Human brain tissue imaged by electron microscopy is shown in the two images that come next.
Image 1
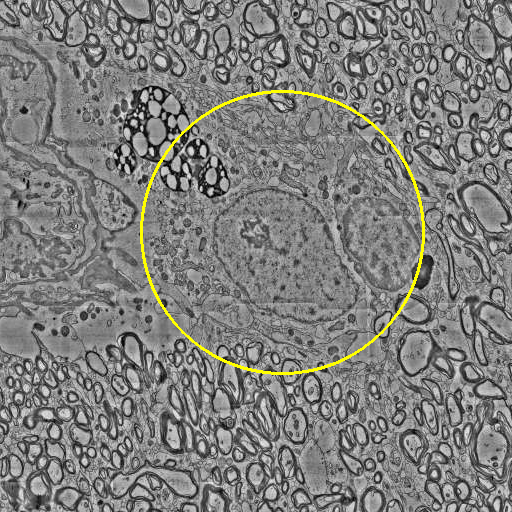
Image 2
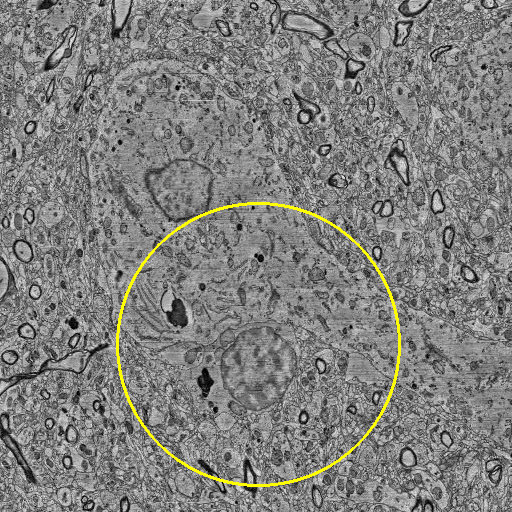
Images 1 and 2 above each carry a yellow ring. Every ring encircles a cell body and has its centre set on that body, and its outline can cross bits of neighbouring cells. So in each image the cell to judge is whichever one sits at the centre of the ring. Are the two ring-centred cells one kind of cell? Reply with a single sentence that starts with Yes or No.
No, in Image 1 and Image 2 the cells at the centres of their rings fall into two types.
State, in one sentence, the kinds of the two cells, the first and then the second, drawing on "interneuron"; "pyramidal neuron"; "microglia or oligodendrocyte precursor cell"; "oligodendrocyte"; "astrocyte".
The ring in the second picture is centred on an oligodendrocyte, the ring in the first on an astrocyte.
